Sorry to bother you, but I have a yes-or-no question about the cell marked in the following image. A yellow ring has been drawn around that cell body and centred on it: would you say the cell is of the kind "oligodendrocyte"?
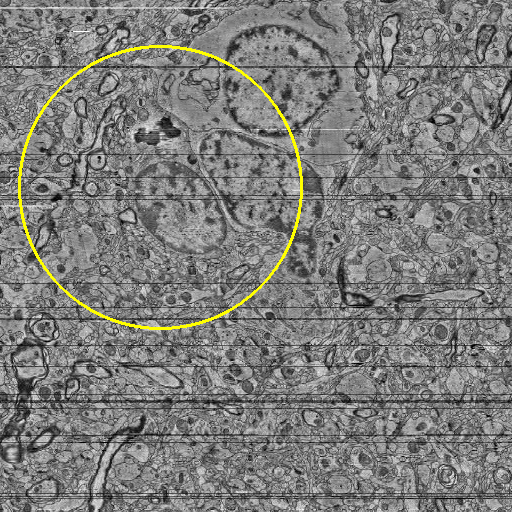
yes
